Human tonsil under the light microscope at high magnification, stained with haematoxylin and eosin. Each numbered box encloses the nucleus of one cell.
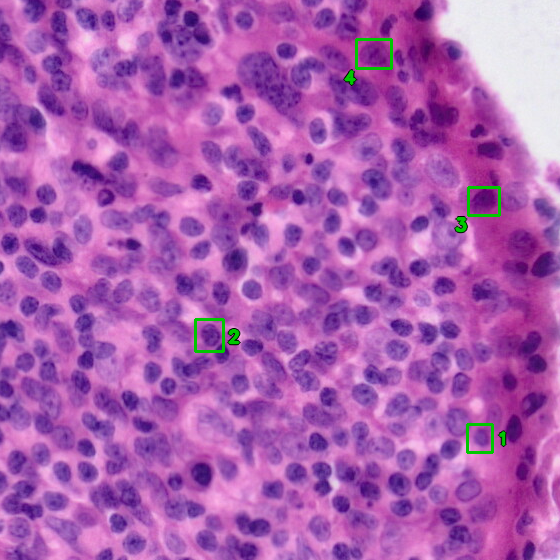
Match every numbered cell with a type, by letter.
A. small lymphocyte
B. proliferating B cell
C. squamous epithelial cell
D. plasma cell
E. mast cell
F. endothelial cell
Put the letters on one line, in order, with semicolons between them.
C; D; C; C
